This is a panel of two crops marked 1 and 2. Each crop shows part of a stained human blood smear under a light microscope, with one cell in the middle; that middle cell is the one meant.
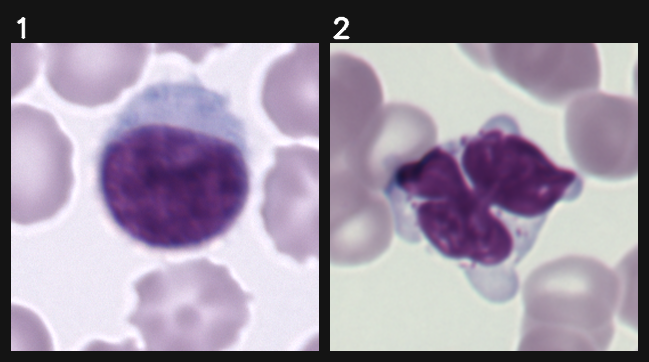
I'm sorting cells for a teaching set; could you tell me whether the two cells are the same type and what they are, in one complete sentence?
No, crop 1 carries a hairy cell and crop 2 carries a large granular lymphocyte.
